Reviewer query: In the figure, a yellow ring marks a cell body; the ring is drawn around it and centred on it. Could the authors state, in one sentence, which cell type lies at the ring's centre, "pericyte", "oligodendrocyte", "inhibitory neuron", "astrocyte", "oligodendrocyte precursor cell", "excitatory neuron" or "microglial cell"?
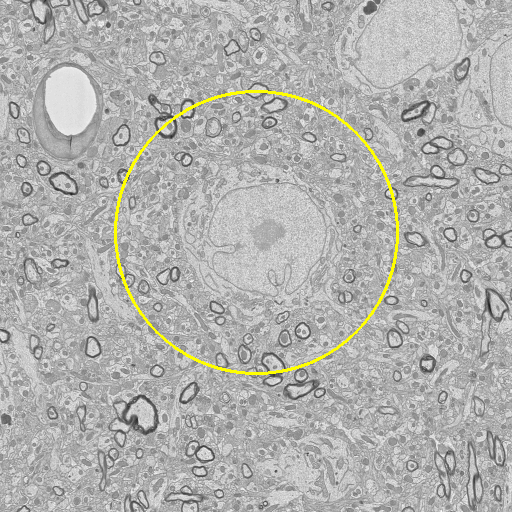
The ring is centred on an inhibitory neuron.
